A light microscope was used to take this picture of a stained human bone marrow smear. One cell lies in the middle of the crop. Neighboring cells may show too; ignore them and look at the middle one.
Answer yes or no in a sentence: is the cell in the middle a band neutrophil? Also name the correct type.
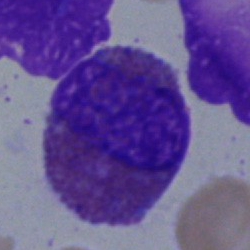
No, a band neutrophil is not what the central cell is; it is an eosinophil.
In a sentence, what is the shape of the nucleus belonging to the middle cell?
A single compact nucleus, round, oval or kidney-shaped, is what this cell shows.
